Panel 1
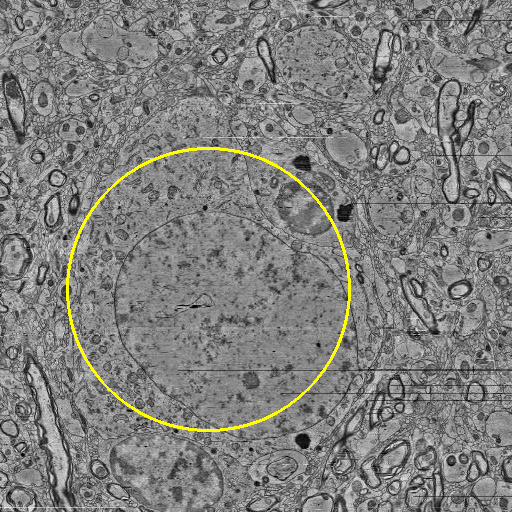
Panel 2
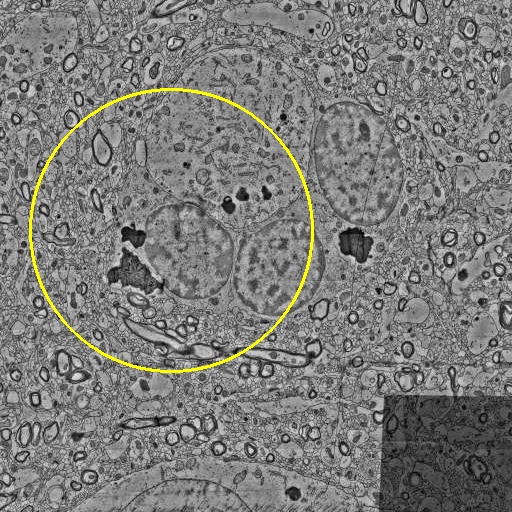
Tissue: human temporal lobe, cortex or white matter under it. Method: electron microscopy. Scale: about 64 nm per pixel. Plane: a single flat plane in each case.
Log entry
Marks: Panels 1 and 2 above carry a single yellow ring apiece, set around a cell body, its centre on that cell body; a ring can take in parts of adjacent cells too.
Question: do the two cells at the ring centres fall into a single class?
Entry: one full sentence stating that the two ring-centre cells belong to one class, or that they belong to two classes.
The two ring-centre cells in Panels 1 and 2 belong to two classes.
